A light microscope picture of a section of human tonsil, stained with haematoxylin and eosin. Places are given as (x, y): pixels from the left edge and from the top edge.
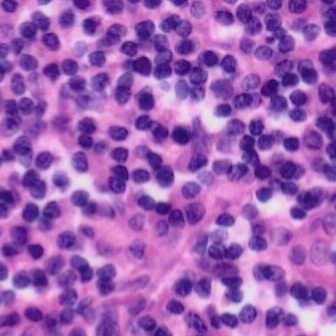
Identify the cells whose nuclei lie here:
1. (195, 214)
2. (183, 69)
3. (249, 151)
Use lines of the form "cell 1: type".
cell 1: endothelial cell
cell 2: small lymphocyte
cell 3: small lymphocyte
